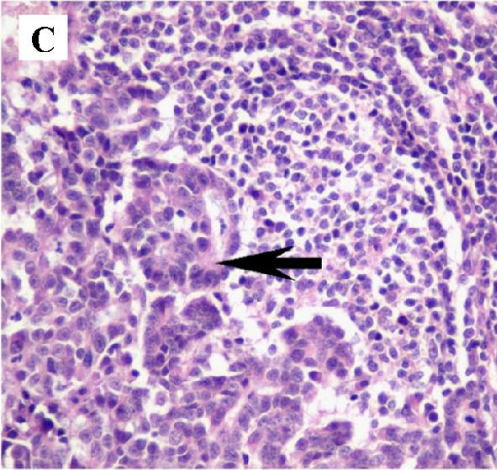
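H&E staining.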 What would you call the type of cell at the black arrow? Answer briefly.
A: neoplastic cells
